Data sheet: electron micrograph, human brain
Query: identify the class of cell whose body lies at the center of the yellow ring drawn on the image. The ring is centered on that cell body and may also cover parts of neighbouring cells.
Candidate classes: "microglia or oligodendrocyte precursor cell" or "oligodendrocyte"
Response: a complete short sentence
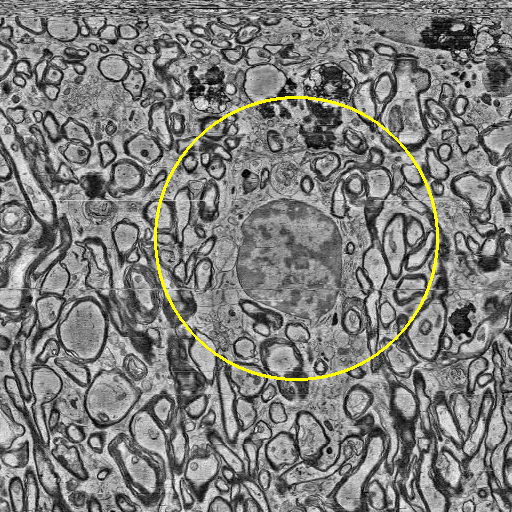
At the center of the ring lies a microglial cell or oligodendrocyte precursor cell.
